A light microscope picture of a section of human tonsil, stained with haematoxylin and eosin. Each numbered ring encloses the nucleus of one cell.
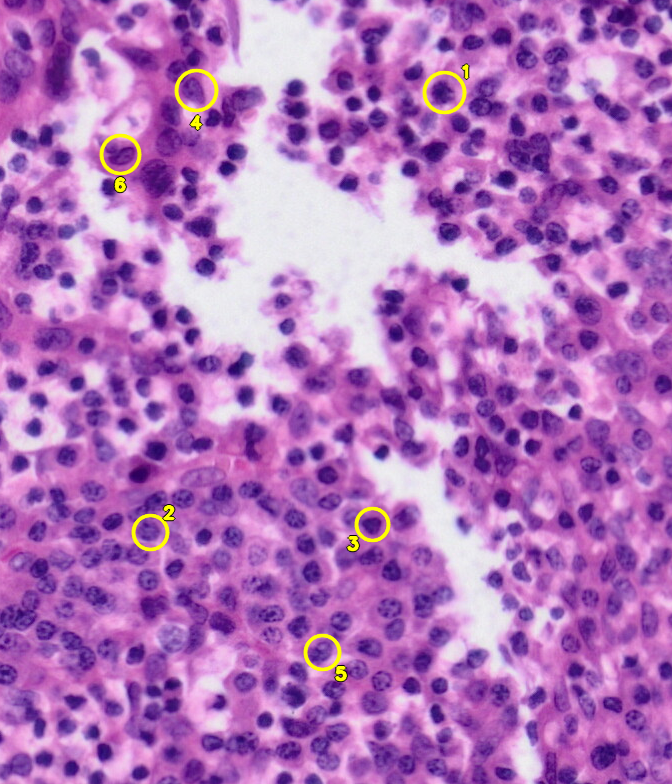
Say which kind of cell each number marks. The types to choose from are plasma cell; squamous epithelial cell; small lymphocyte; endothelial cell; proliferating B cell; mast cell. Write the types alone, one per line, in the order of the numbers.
plasma cell
plasma cell
plasma cell
squamous epithelial cell
plasma cell
squamous epithelial cell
